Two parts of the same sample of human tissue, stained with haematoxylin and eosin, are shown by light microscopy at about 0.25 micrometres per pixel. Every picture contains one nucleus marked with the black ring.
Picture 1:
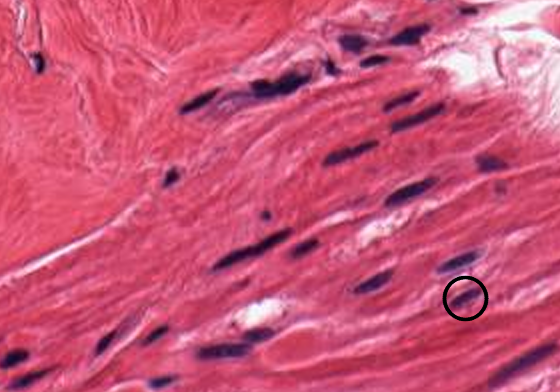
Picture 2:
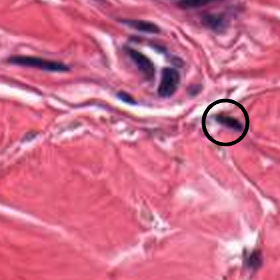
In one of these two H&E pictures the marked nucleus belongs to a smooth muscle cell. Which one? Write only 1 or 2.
1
